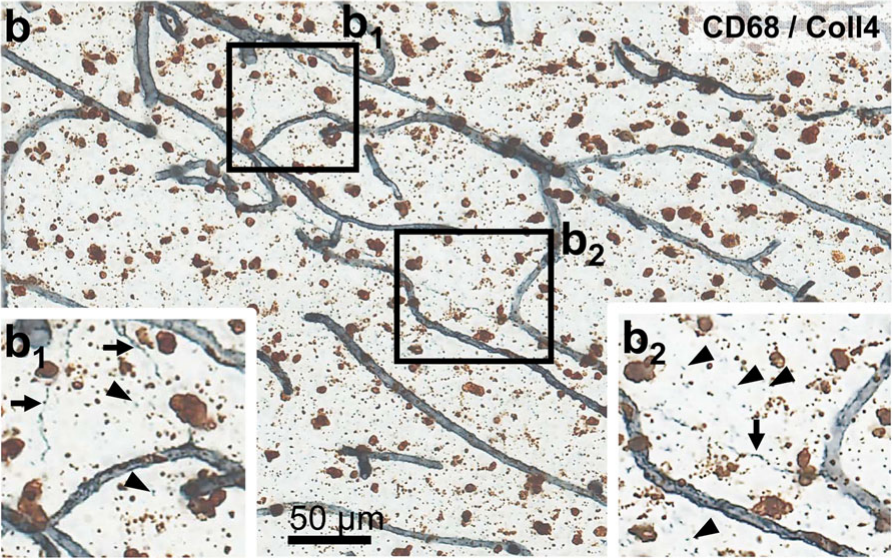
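Brain parenchyma crossed by many blue-outlined capillaries and small vessels, some long and straight, others branching and tortuous. Between them lie numerous rounded brown cells and many smaller brown granules, scattered densely through the tissue. Very thin pale blue threads and small blue dots lie among the brown cells, apart from the intact vessels.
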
